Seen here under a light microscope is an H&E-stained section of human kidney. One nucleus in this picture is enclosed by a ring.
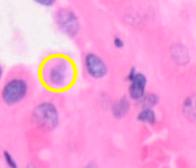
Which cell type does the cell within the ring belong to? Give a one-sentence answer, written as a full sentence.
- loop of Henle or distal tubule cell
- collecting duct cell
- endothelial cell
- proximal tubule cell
As for its identity, the cell within the ring is a loop of Henle or distal tubule cell.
